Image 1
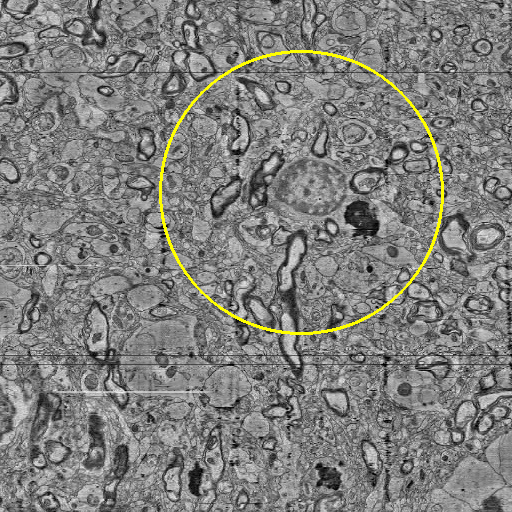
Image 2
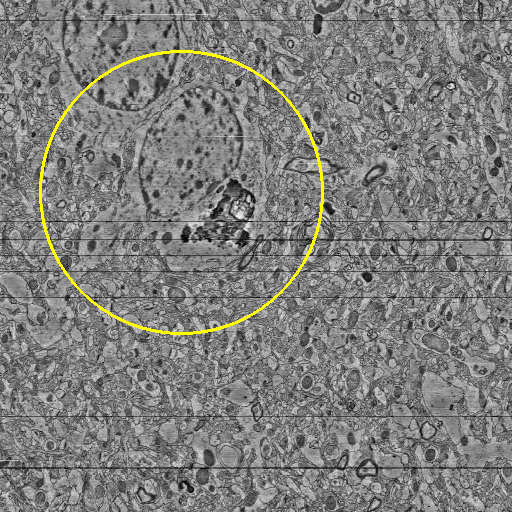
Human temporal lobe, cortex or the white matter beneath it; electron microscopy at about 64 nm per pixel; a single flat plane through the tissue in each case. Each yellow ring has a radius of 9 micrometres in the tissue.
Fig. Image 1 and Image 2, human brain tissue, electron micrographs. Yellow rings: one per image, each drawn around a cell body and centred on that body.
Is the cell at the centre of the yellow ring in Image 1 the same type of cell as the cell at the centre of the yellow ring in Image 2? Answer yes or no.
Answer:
no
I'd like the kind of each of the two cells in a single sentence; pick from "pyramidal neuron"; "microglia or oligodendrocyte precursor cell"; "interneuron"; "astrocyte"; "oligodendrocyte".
The first ring marks an oligodendrocyte, and the second ring marks an astrocyte.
